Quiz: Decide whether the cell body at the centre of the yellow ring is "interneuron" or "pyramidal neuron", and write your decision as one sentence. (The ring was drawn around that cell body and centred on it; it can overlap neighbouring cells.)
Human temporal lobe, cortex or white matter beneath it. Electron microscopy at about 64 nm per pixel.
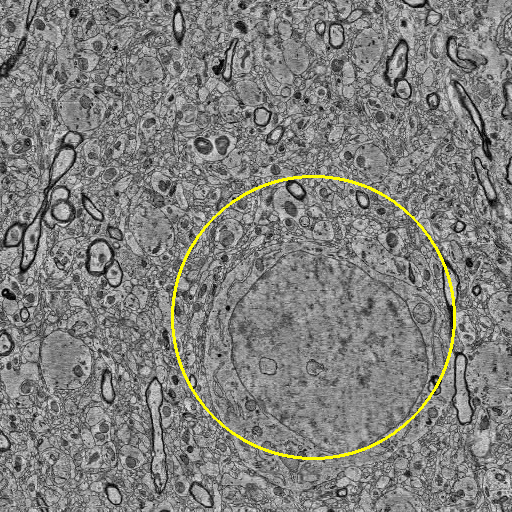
The cell the ring is centred on is an interneuron.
